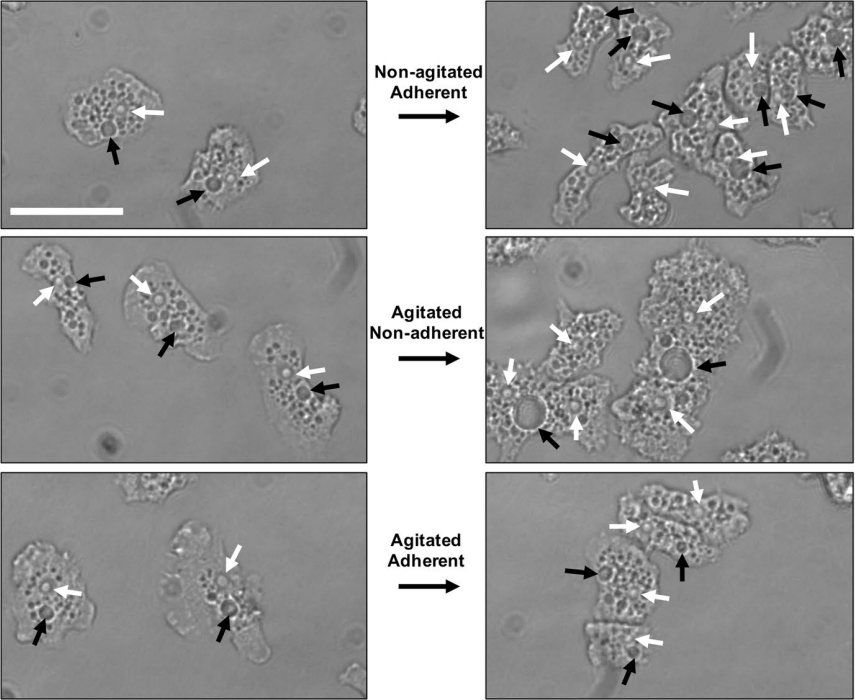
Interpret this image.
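The cells are irregular and flattened, with lobed margins and broad pseudopodia. Their cytoplasm is densely packed with small round granules and vacuoles. Each cell holds one or more round, pale nuclei. Nearby lie round, clear, sharply bordered contractile vacuoles. Some of these vacuoles are much enlarged in certain cells. In some views the amoebae lie close together in clusters. Some cells appear larger, with more than one nucleus marked within a single body.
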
